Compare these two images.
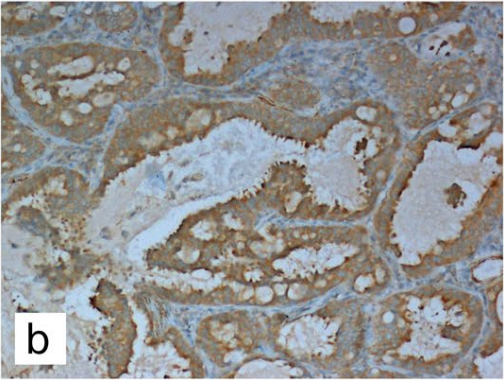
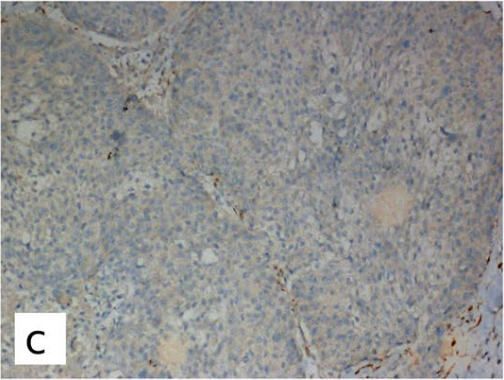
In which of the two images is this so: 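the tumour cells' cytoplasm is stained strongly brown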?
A: The first image.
